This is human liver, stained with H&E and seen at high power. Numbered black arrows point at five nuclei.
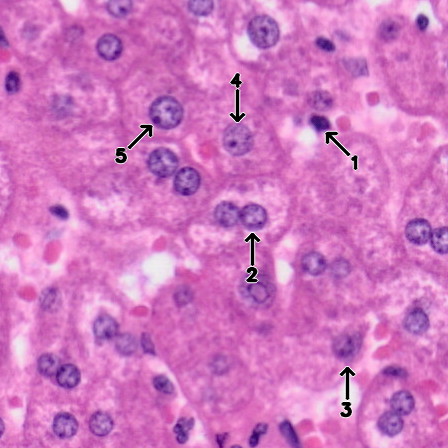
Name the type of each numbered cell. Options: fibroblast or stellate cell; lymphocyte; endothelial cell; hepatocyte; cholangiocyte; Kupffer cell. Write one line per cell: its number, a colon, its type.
1: lymphocyte
2: hepatocyte
3: Kupffer cell
4: hepatocyte
5: hepatocyte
